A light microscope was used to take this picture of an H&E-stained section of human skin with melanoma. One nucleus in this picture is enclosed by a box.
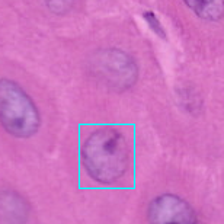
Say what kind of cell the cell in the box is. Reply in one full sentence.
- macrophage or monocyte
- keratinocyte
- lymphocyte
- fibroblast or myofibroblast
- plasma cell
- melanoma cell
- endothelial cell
This is a keratinocyte.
